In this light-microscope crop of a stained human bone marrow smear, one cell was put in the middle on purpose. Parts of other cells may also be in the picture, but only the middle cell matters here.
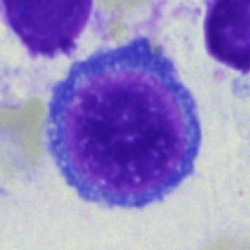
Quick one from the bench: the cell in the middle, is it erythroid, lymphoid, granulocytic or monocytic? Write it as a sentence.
The cell sitting in the middle of this crop is of the erythroid line.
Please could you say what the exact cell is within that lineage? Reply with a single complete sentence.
Among the cells in view, the one in the middle is an erythroblast.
